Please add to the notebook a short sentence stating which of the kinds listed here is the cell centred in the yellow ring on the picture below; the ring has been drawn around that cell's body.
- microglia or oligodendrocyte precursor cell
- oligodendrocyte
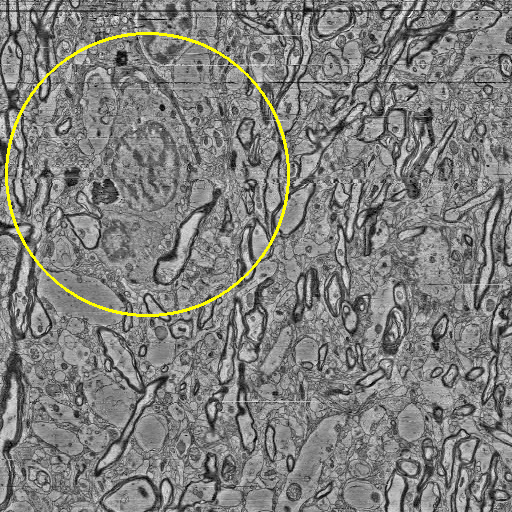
The cell centred in the yellow ring is an oligodendrocyte.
